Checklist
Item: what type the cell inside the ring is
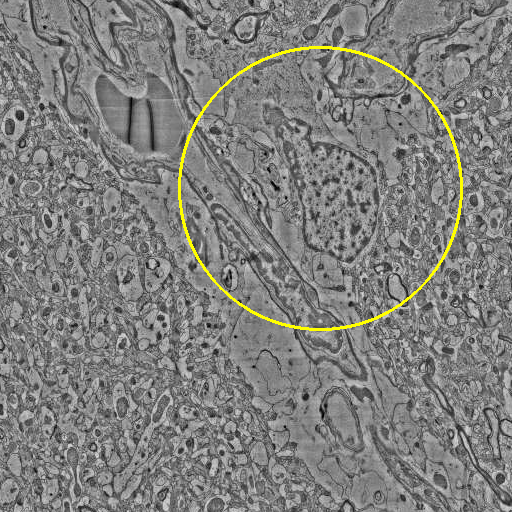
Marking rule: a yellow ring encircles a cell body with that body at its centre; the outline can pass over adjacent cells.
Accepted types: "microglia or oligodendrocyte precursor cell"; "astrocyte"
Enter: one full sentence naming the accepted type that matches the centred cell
The entry is that a microglial cell or oligodendrocyte precursor cell lies at the centre of the yellow ring.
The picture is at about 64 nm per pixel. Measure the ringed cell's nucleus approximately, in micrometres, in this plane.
About 8 by 6 micrometers, in this plane.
